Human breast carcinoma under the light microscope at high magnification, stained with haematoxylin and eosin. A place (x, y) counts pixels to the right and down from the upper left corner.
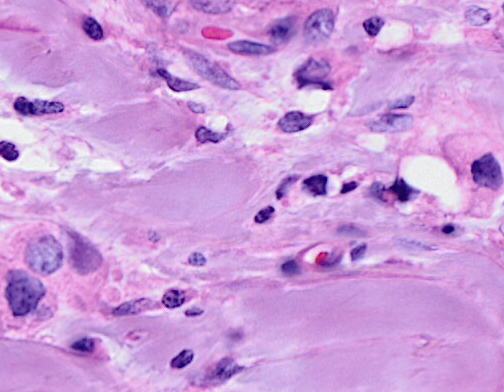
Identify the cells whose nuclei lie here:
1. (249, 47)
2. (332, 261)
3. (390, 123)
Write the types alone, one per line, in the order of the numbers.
endothelial cell
endothelial cell
fibroblast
